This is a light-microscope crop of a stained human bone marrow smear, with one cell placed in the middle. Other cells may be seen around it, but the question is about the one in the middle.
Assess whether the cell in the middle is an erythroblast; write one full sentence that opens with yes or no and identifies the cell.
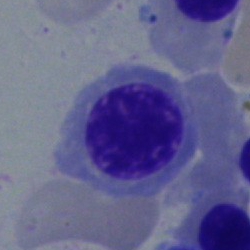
Yes, the centre of the crop holds an erythroblast.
